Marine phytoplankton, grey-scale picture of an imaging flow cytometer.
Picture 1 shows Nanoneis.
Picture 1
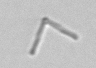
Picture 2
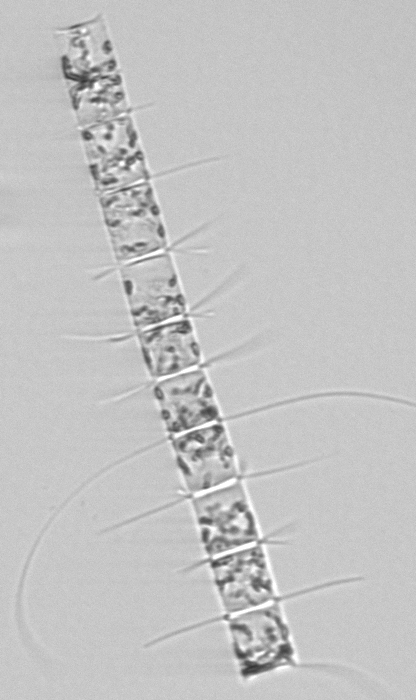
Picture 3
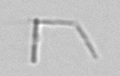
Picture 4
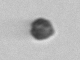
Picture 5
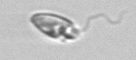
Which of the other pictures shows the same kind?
Picture 3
